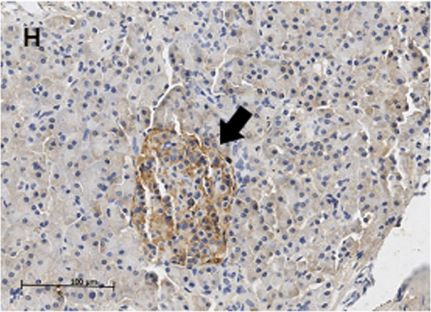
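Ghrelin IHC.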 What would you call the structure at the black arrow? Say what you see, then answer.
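Pancreatic islets. The cluster is stained brown while the surrounding tissue is pale.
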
